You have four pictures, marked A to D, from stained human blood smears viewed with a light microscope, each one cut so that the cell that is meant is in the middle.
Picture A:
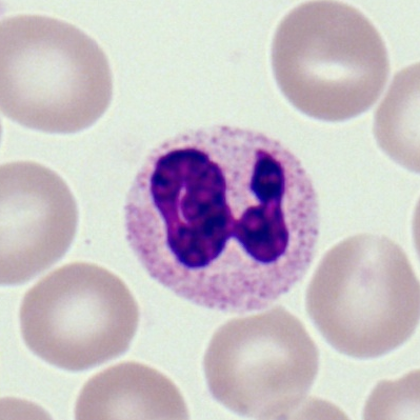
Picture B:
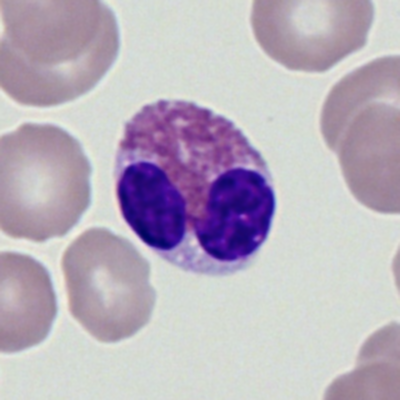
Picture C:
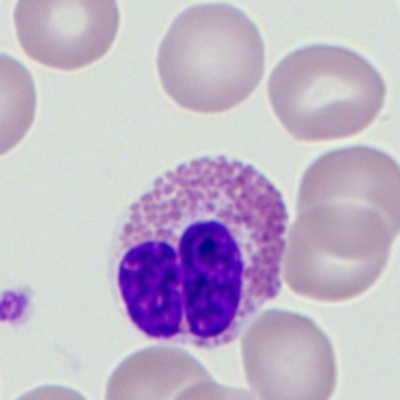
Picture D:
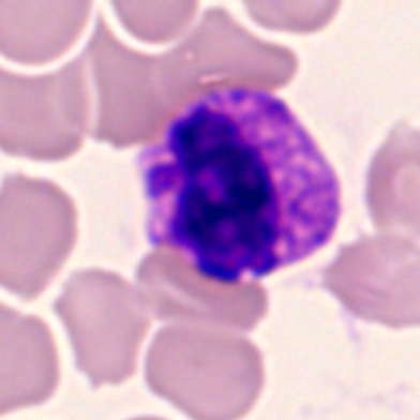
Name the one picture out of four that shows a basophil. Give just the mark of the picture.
D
